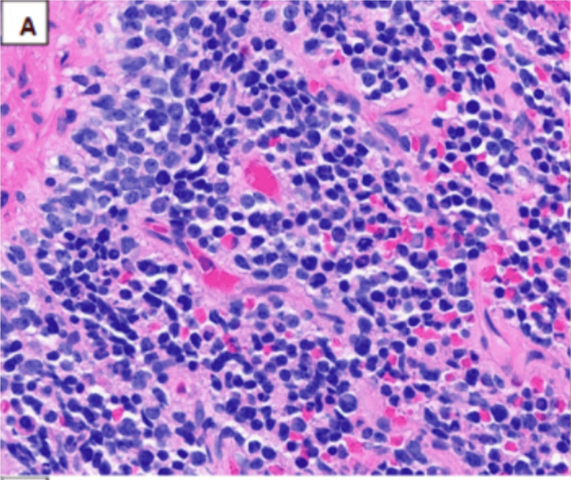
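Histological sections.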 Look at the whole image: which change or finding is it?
High nuclear-to-cytoplasmic ratio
